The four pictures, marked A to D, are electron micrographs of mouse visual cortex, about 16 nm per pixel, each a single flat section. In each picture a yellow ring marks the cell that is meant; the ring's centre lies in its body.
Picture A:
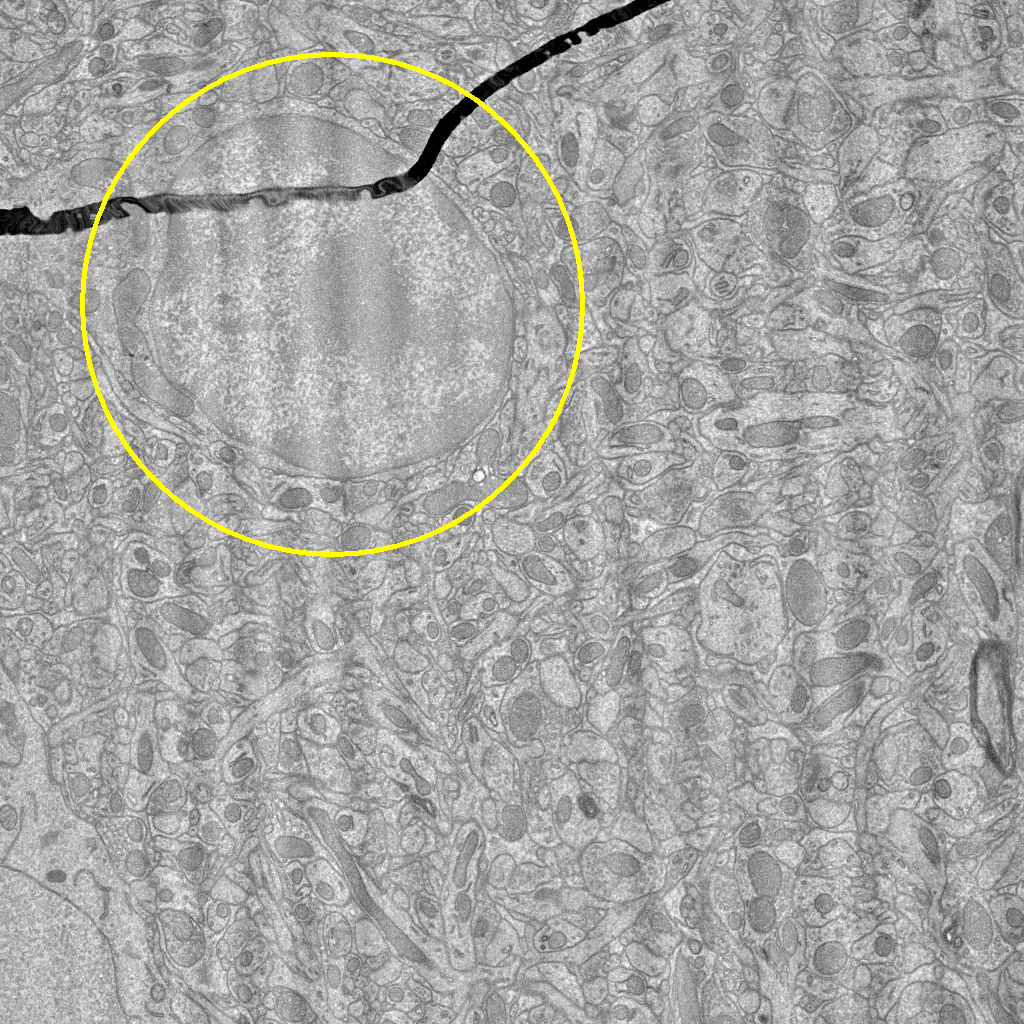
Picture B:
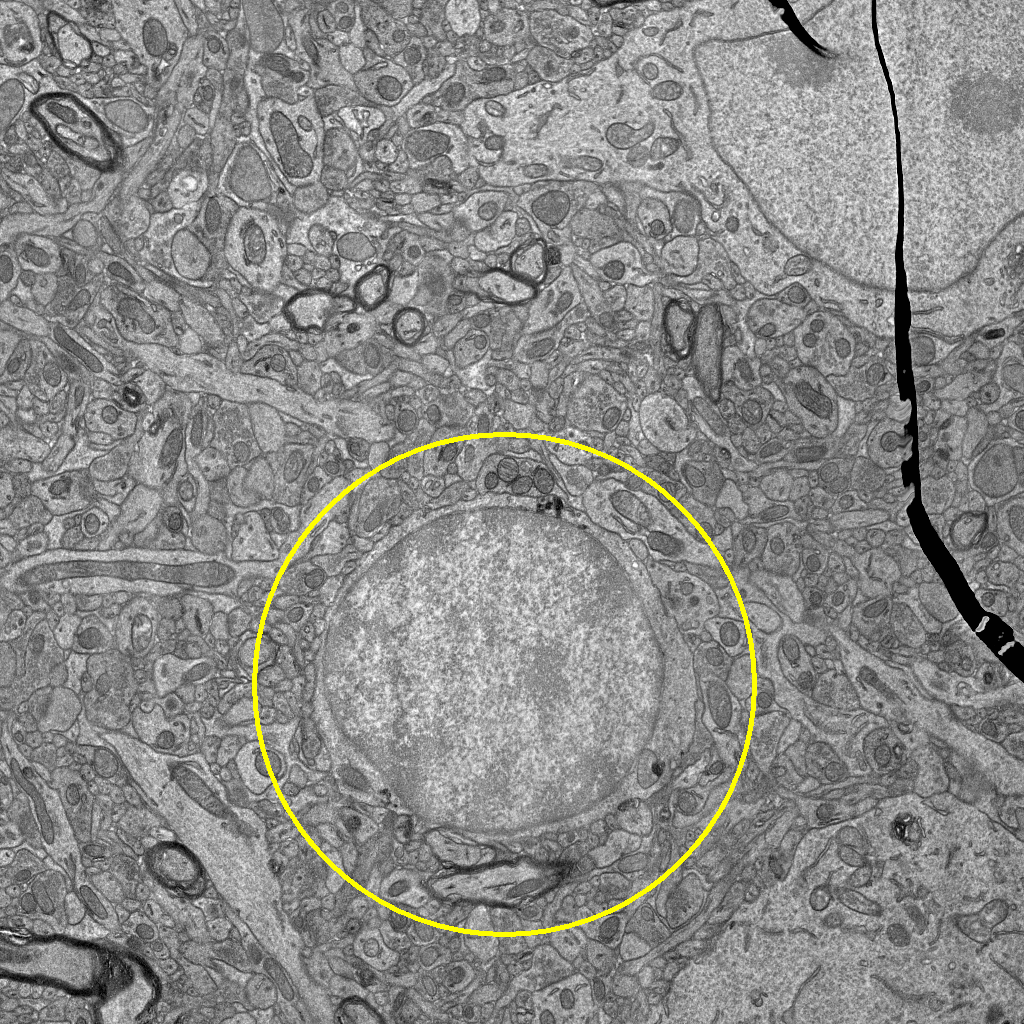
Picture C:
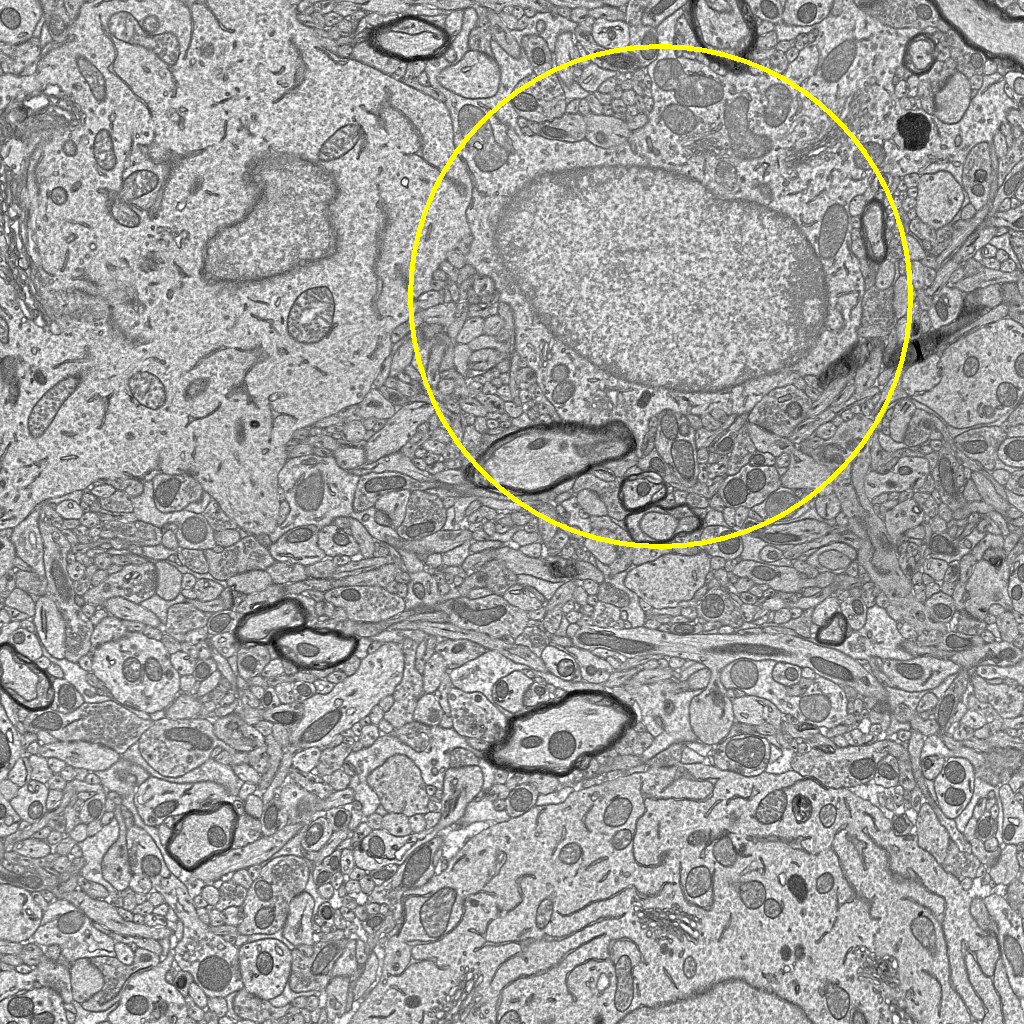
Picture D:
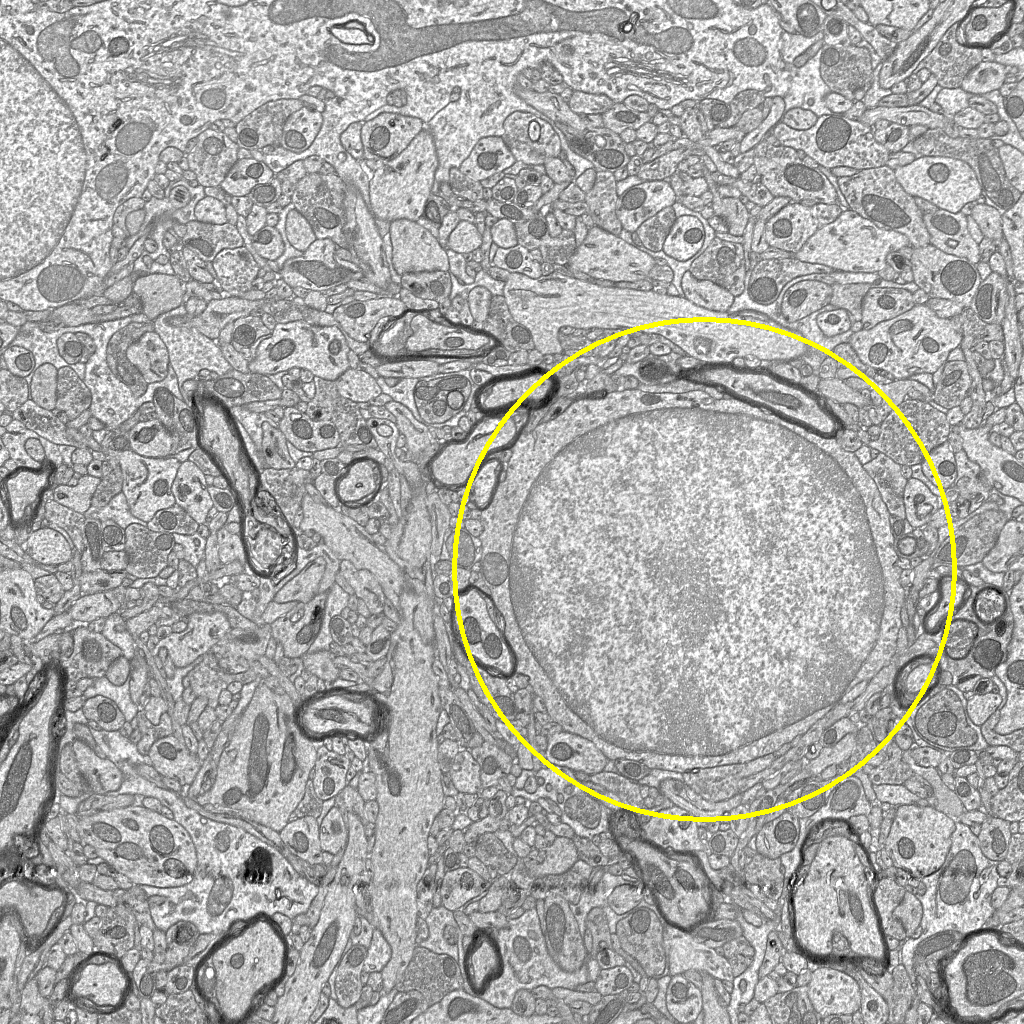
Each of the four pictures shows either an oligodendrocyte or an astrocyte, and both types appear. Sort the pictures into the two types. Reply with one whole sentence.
Pictures A, B and D show oligodendrocytes, while picture C shows an astrocyte.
